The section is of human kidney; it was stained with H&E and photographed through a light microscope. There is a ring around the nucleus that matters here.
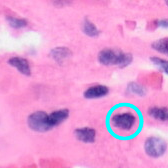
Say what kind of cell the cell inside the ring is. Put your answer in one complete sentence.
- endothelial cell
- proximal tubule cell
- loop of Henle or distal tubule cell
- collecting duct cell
The cell inside the ring is a loop of Henle or distal tubule cell.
